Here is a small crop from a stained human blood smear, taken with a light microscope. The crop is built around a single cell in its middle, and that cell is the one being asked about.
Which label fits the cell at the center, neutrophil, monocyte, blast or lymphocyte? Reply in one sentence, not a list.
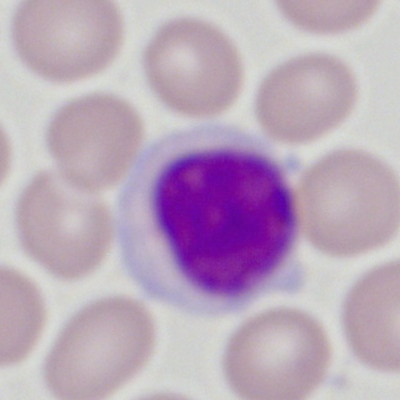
Among the cells in view, the one in the middle is a lymphocyte.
